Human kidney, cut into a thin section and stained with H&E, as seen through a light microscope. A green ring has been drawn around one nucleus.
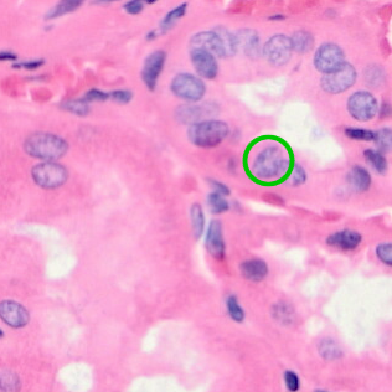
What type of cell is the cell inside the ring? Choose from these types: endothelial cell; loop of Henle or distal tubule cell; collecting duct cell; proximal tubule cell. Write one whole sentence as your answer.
What the cell inside the ring represents is a collecting duct cell.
